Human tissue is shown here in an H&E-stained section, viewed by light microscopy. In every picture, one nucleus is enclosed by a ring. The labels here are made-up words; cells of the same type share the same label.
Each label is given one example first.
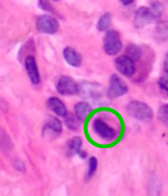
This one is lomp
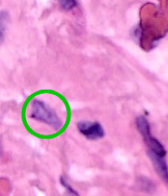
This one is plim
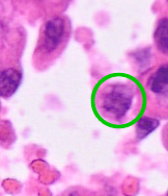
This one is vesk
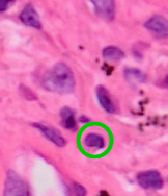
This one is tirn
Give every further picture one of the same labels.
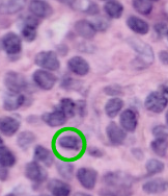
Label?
tirn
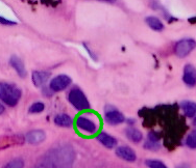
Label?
tirn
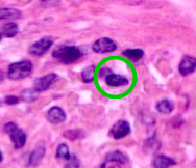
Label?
tirn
